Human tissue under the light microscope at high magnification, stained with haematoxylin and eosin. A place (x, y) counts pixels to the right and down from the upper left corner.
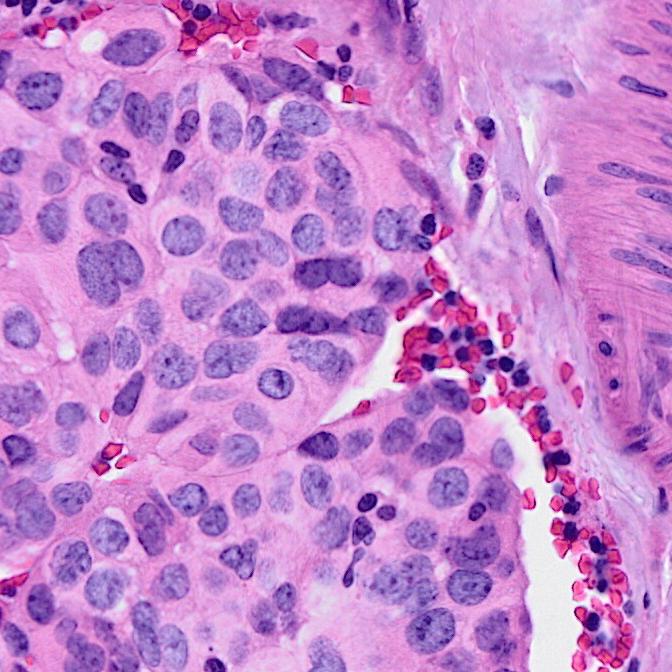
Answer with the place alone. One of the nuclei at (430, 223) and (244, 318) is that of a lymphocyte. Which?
(430, 223)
